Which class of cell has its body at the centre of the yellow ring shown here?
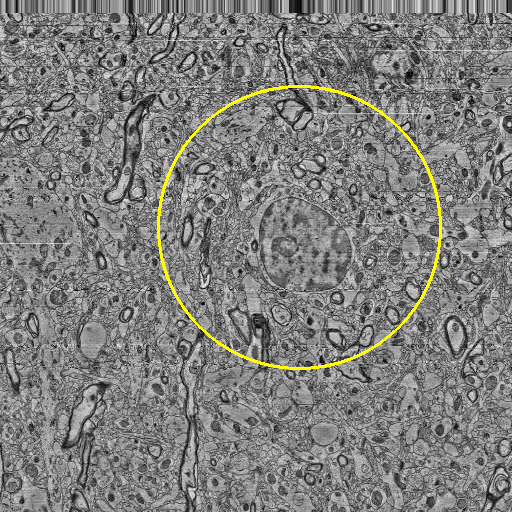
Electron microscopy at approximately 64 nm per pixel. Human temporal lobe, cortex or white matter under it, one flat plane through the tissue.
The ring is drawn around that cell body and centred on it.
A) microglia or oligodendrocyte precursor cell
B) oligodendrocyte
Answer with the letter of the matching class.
A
